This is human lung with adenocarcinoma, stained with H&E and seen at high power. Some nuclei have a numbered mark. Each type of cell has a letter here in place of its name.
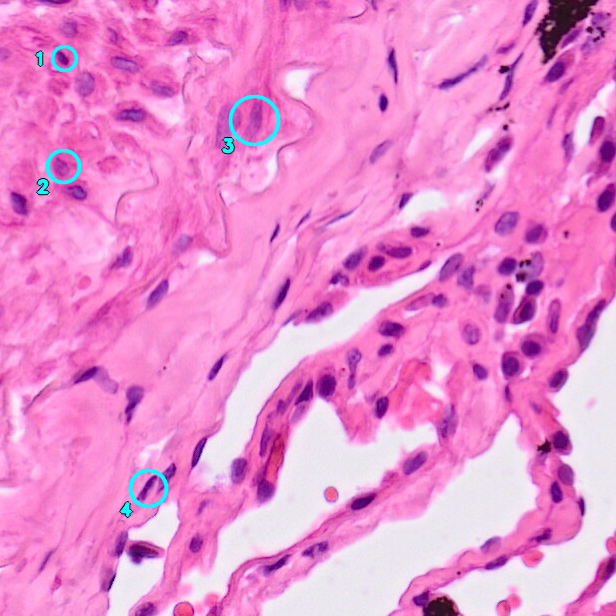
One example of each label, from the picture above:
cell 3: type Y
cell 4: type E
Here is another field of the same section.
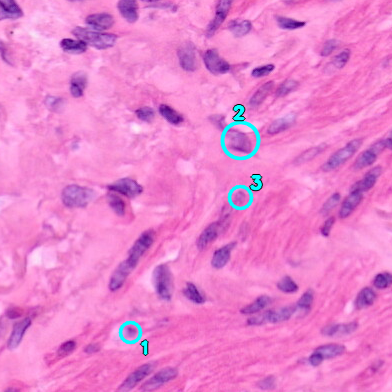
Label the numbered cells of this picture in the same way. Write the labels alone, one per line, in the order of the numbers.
type Y
type E
type Y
